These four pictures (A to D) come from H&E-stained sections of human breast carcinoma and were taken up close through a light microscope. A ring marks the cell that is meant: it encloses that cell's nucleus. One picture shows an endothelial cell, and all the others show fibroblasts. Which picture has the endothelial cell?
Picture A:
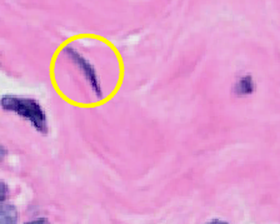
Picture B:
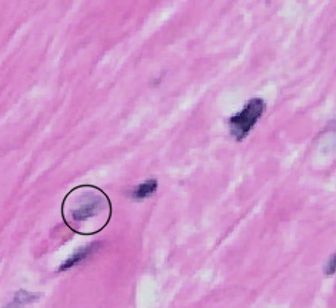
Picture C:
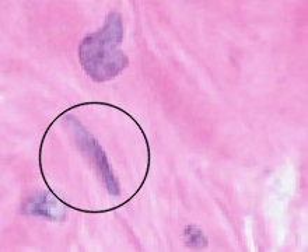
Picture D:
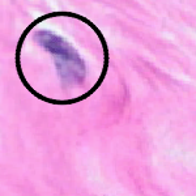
B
